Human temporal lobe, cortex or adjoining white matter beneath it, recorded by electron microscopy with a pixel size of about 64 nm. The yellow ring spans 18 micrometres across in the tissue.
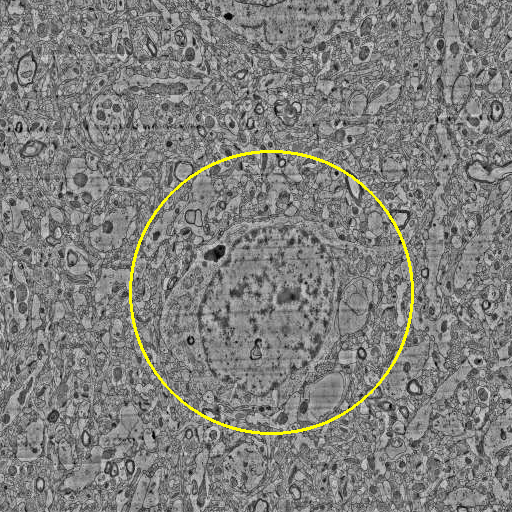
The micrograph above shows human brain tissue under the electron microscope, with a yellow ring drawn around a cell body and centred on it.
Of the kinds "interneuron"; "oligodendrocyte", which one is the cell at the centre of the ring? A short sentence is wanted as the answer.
The one at the centre of the ring is an interneuron.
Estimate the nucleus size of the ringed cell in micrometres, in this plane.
Roughly 11 by 8 micrometres in this plane, for the nucleus of the ringed cell.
